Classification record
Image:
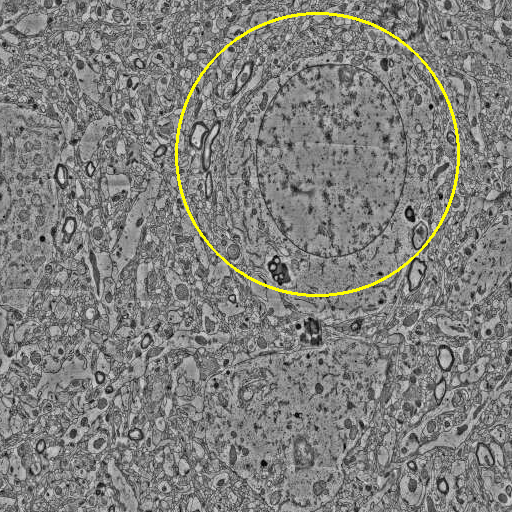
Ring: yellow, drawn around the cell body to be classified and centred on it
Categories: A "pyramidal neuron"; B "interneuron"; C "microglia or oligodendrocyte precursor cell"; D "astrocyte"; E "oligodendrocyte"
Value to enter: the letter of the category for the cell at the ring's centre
A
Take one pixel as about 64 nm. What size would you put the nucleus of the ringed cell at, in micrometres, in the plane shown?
The nucleus measures about 12 by 10 micrometres in this plane.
